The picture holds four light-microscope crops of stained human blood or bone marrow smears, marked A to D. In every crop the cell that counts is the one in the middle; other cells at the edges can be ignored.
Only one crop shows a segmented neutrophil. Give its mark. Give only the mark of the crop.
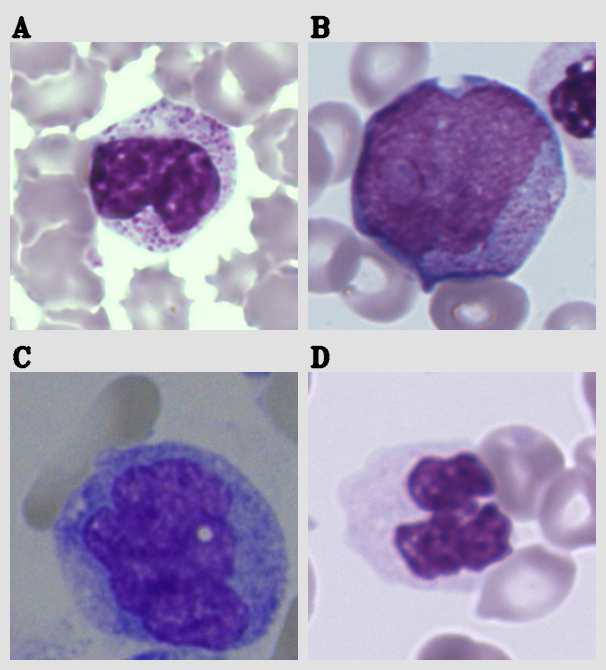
D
